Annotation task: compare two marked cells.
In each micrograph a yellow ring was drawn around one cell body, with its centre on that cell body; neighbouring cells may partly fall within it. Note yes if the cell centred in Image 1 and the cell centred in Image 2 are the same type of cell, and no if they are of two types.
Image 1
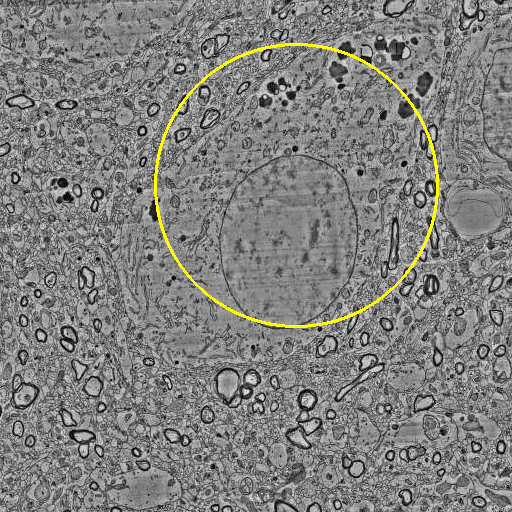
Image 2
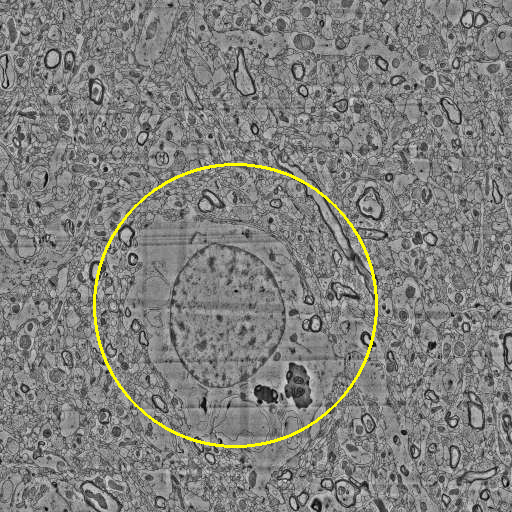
no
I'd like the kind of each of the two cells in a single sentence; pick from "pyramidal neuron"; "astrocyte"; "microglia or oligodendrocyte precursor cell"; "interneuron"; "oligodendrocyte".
The first ring marks a pyramidal neuron, and the second ring marks an astrocyte.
